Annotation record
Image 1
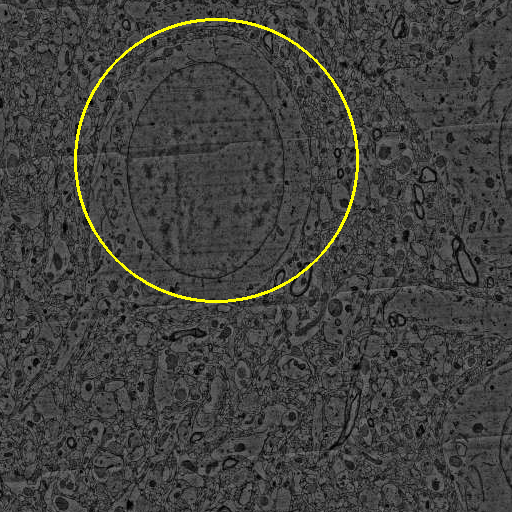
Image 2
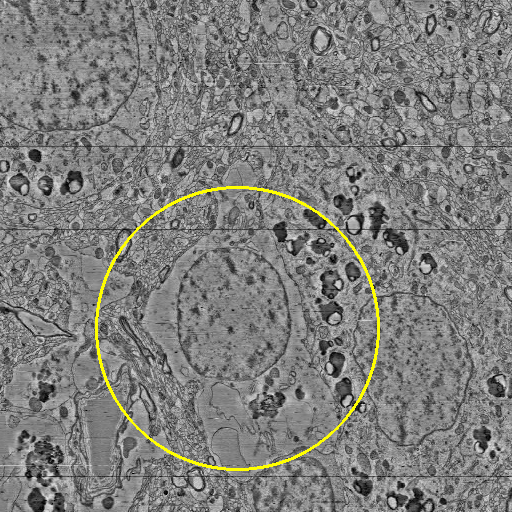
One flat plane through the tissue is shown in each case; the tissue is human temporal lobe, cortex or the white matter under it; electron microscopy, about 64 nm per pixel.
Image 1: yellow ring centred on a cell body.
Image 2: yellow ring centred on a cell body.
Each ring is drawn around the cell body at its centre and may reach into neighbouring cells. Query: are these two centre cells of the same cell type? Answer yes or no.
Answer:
no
